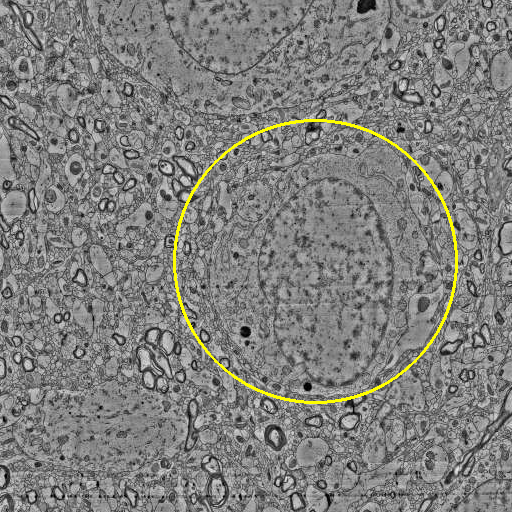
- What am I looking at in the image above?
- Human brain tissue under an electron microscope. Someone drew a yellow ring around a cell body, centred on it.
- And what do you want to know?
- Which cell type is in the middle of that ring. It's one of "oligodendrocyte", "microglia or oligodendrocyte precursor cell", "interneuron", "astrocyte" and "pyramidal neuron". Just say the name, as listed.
interneuron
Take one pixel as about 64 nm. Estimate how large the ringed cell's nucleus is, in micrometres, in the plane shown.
Roughly 13 micrometres by 9 micrometres, so the nucleus is clearly longer than it is wide in this plane.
